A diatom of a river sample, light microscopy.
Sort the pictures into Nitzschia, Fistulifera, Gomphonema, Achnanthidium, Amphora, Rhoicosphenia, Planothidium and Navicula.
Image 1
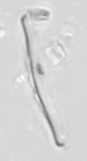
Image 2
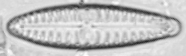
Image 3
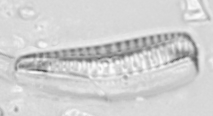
Achnanthidium: 1
Gomphonema: 2
Rhoicosphenia: 3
